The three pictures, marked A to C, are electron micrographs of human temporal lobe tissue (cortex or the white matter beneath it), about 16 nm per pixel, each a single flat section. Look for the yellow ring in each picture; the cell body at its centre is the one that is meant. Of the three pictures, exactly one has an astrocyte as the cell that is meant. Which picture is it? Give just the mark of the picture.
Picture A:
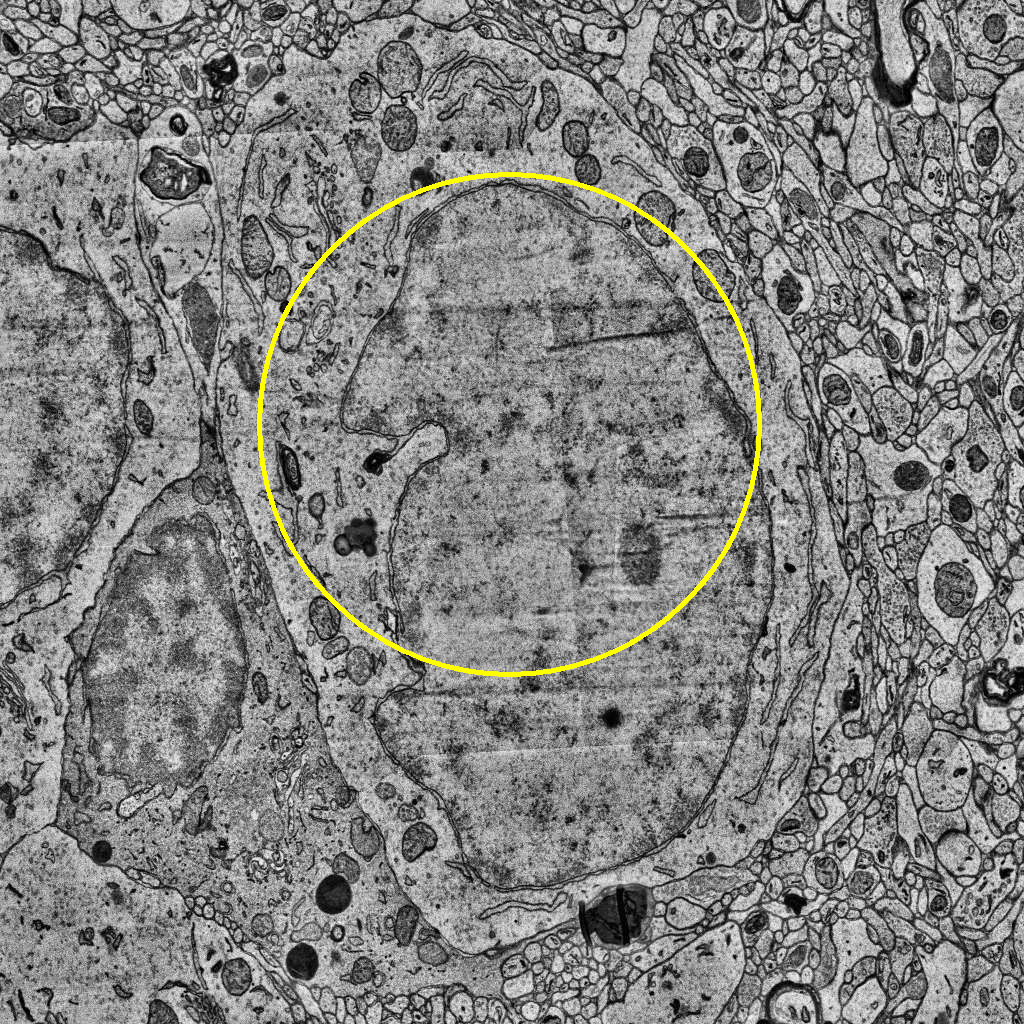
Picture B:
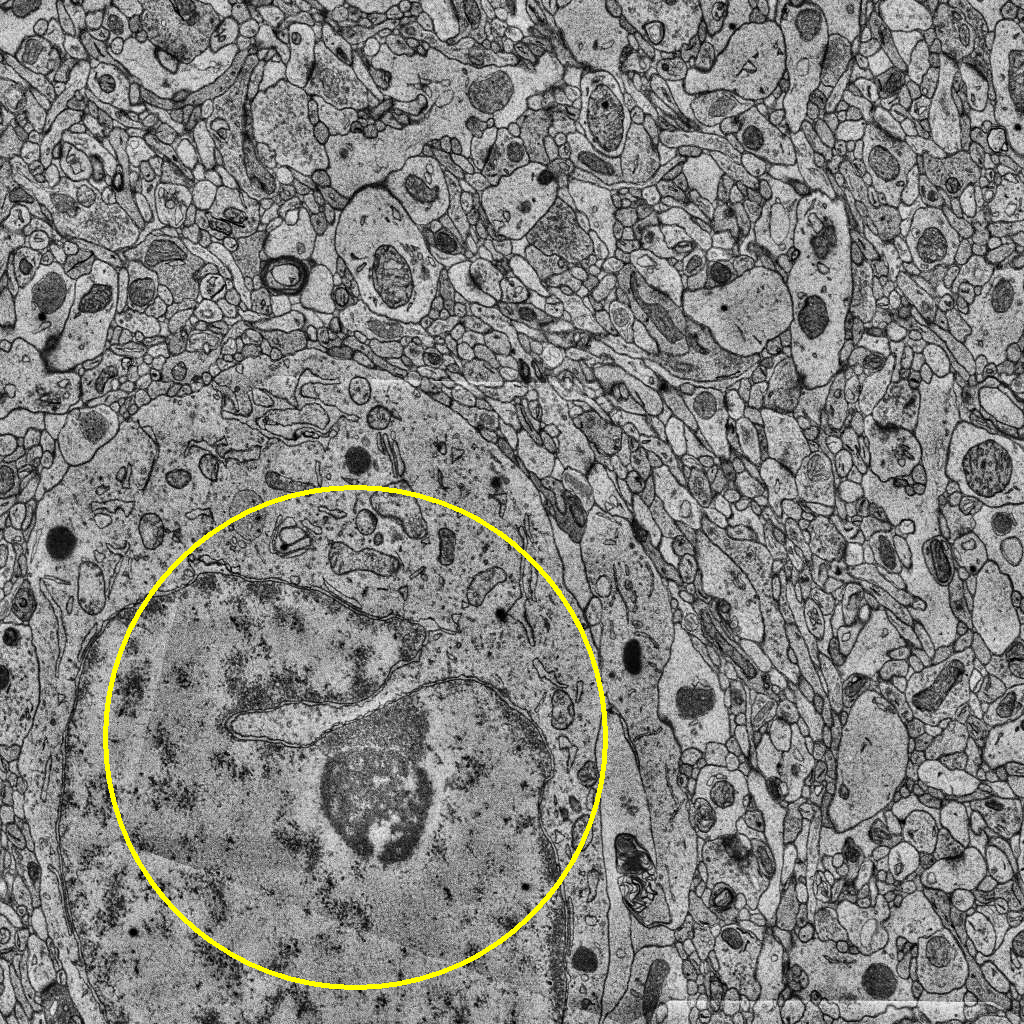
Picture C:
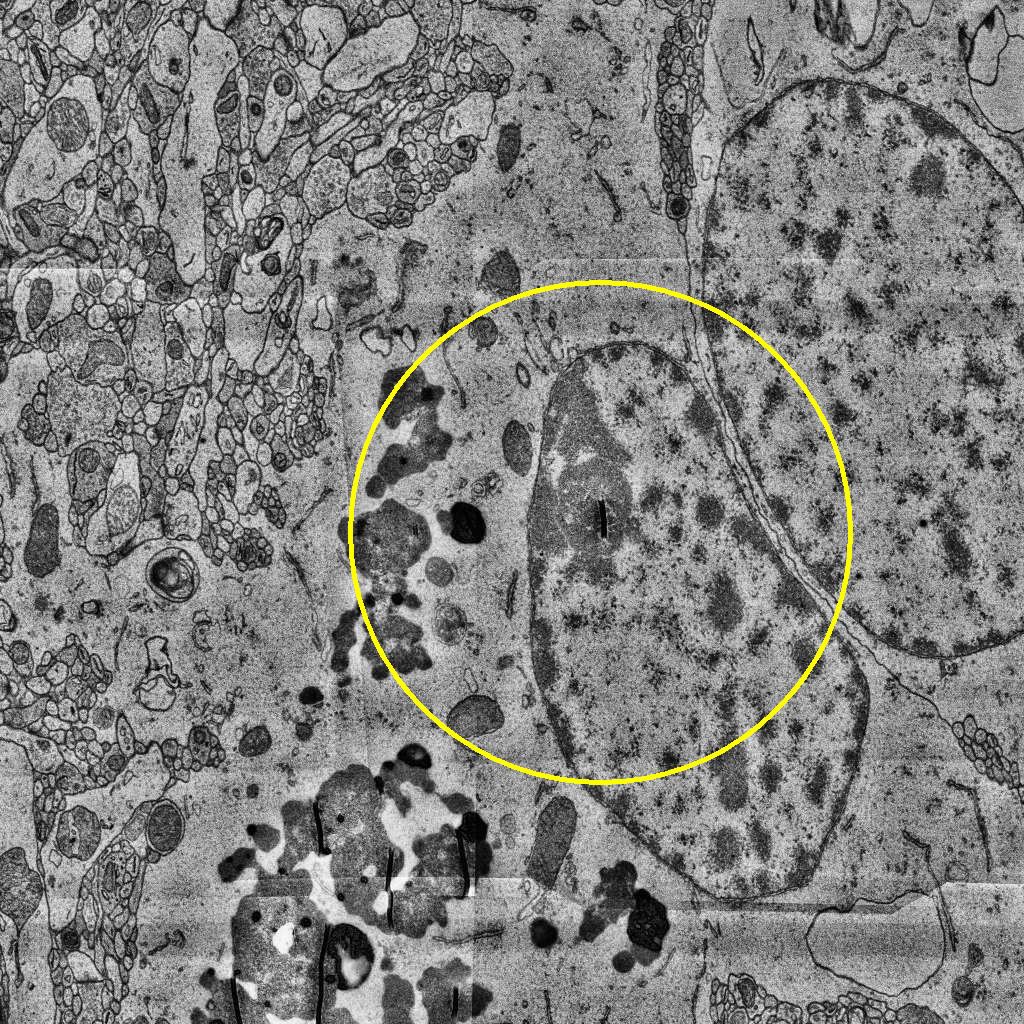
C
